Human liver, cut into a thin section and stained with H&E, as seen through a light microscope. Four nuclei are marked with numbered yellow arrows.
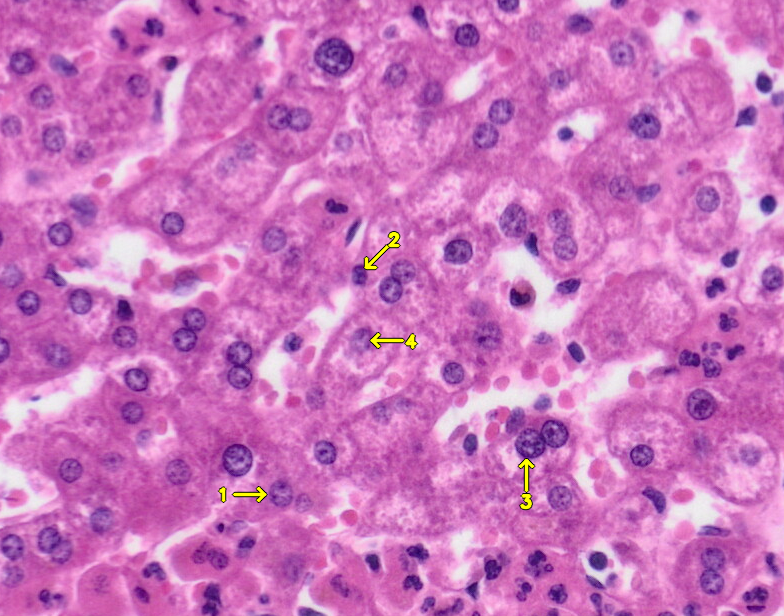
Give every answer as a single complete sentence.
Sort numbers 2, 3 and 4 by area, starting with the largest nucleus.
Going from the biggest nucleus down to the smallest gives 3, 4, 2.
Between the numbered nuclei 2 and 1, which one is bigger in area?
Nucleus 1 is larger, with an area about 1.5 times that of nucleus 2.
